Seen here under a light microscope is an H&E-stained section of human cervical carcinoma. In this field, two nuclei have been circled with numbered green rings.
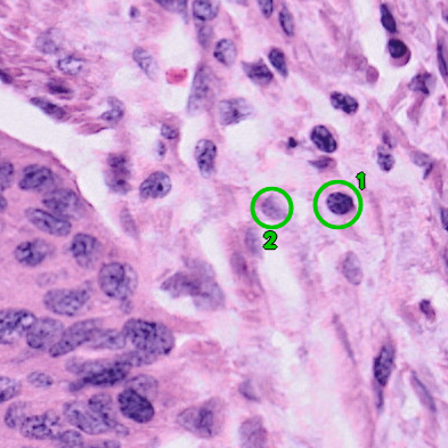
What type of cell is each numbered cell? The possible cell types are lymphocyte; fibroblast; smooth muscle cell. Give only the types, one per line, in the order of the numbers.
lymphocyte
fibroblast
